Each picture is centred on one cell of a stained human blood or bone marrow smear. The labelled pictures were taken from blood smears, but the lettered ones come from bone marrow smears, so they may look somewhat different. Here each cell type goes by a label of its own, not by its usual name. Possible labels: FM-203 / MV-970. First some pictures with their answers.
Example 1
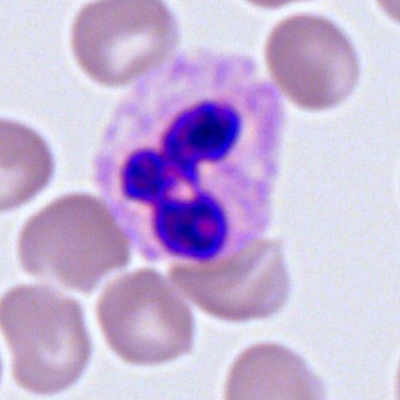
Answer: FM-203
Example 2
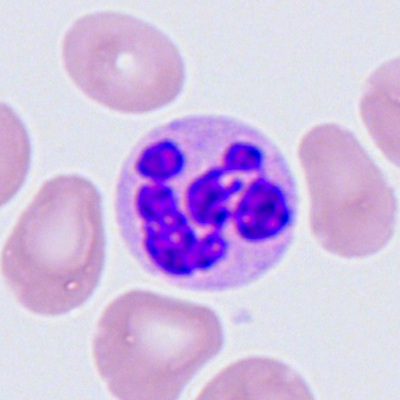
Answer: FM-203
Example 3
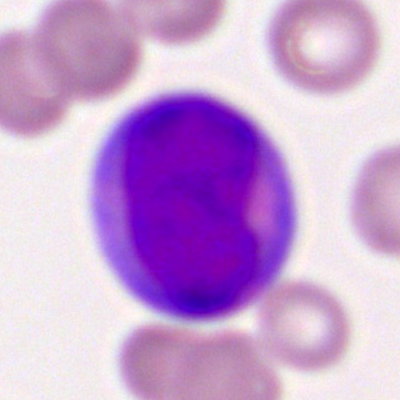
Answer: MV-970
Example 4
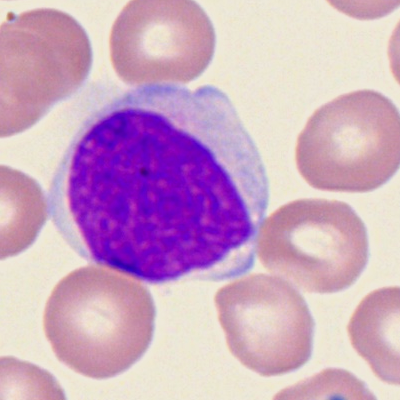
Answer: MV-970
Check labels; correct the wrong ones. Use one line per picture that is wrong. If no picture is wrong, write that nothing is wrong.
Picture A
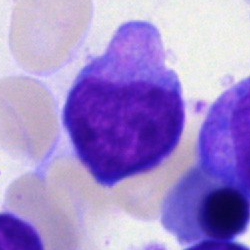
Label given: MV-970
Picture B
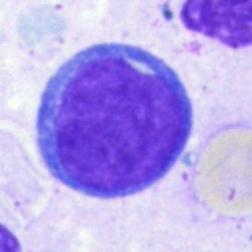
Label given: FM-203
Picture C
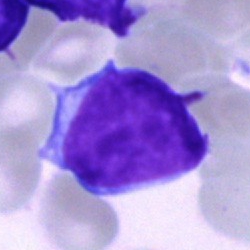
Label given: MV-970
B: MV-970, not FM-203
